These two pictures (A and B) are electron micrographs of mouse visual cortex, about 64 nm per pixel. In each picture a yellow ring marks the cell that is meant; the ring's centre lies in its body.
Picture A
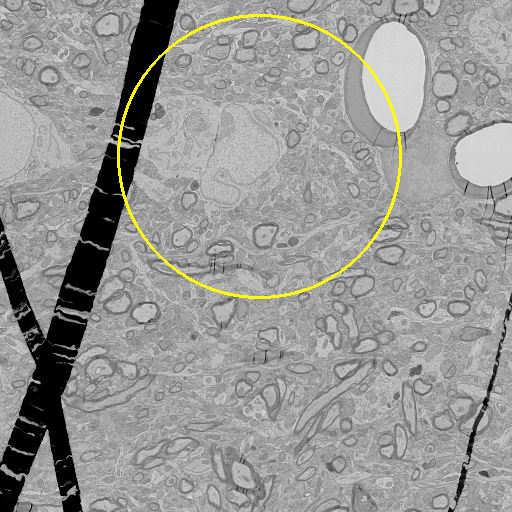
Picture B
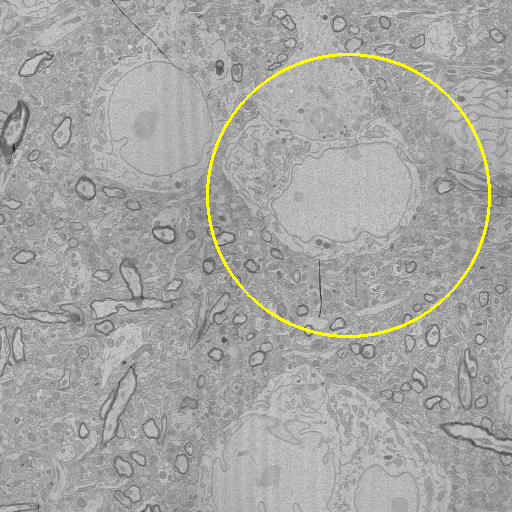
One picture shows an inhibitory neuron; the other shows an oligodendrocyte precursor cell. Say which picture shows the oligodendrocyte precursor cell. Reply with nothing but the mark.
A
